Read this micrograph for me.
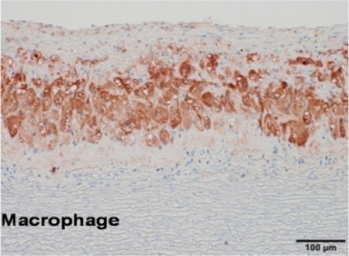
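A broad band in the middle of the thickened inner layer is occupied by large, rounded, closely packed brown cells with abundant, somewhat foamy cytoplasm and small blue nuclei. Brown staining is weaker and patchier toward the luminal surface, where the tissue is paler with scattered blue nuclei.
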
